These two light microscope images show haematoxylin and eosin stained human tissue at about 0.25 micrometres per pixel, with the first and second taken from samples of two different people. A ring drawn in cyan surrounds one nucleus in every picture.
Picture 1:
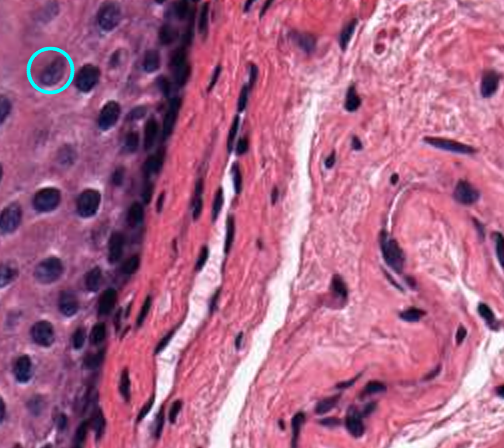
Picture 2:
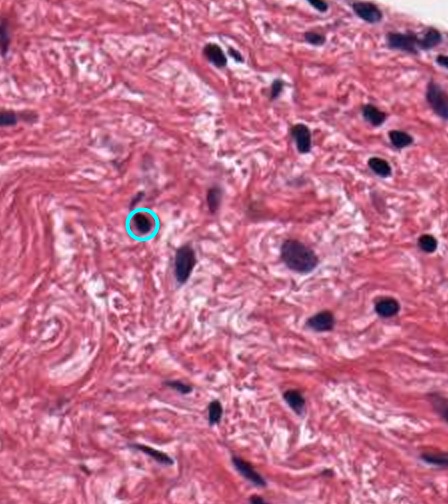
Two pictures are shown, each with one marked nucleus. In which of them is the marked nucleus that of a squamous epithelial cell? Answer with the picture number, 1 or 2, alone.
1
